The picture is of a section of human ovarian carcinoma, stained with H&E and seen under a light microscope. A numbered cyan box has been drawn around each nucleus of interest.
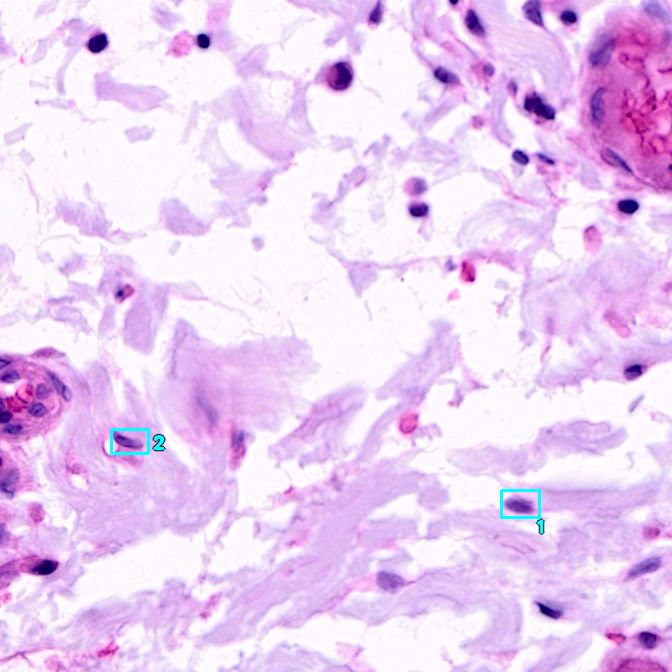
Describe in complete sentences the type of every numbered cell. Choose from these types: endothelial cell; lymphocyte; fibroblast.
Cell 1 is a fibroblast. Cell 2 is an endothelial cell.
